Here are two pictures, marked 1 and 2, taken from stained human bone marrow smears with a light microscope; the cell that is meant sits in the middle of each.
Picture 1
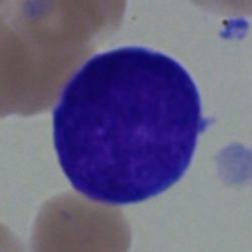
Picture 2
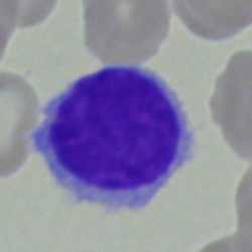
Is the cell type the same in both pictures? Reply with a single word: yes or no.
no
